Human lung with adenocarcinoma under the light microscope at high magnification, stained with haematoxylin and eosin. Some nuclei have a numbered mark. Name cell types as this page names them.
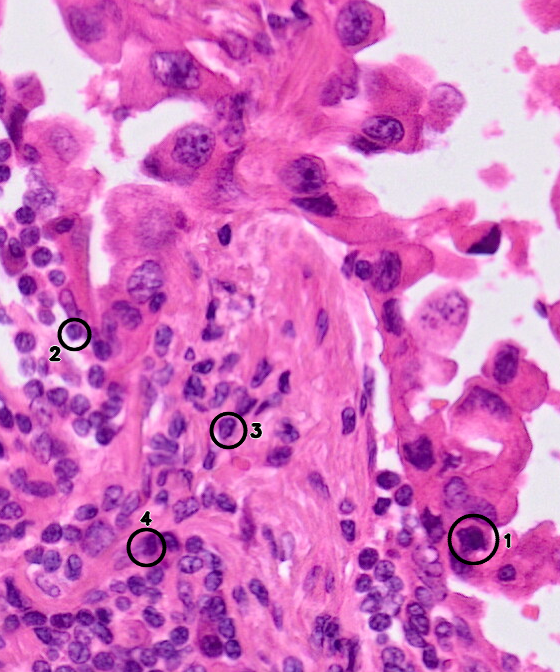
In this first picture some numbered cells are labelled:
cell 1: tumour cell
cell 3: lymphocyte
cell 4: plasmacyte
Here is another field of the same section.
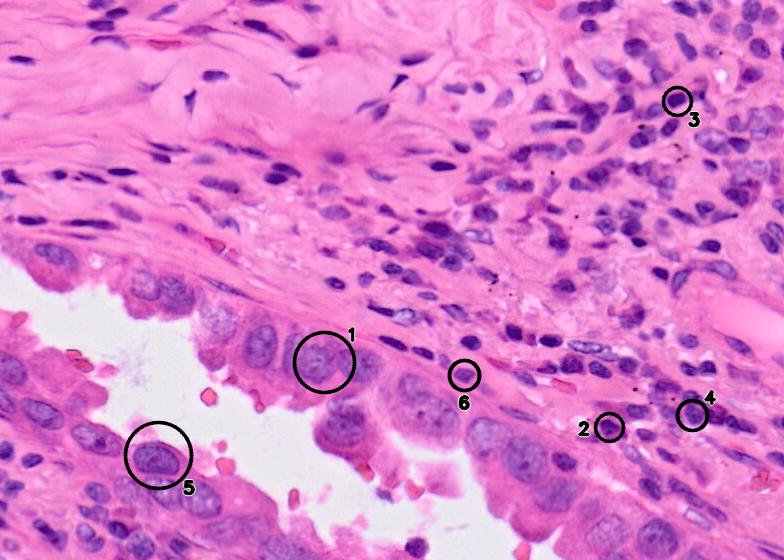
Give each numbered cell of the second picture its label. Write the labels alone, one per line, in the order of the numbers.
tumour cell
plasmacyte
lymphocyte
lymphocyte
tumour cell
lymphocyte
